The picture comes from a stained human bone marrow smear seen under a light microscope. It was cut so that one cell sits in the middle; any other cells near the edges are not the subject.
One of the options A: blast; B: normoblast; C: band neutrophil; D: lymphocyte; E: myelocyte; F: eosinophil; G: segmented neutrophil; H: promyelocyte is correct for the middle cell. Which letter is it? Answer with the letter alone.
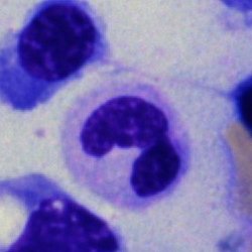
G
